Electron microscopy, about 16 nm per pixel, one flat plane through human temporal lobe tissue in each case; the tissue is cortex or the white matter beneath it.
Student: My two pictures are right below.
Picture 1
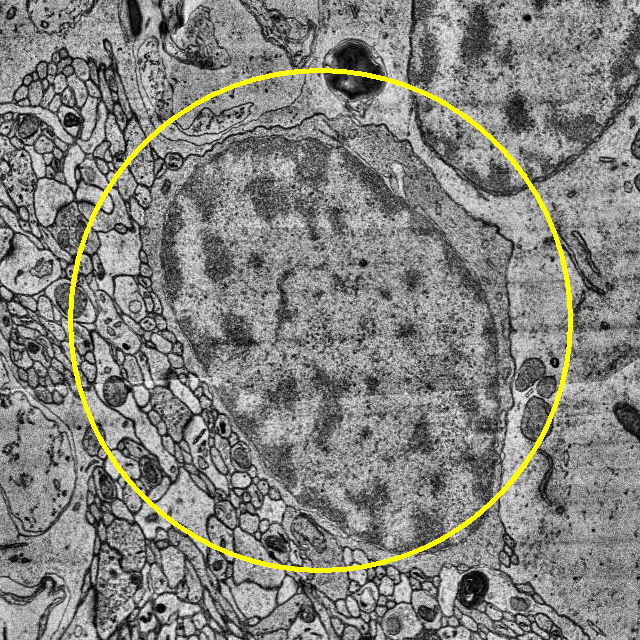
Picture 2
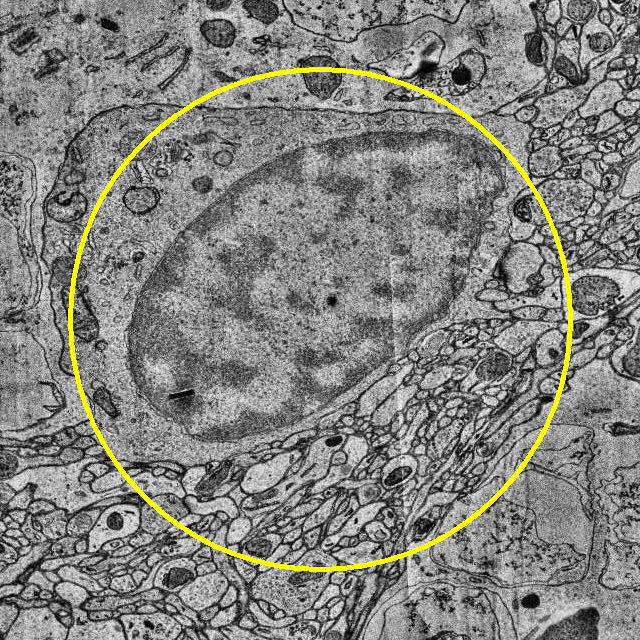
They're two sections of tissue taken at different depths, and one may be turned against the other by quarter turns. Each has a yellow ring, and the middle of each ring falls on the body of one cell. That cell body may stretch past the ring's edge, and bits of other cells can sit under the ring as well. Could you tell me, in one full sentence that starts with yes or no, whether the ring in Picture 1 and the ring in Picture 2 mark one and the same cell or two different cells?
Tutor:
Yes, the two rings mark one cell and not separate cells.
